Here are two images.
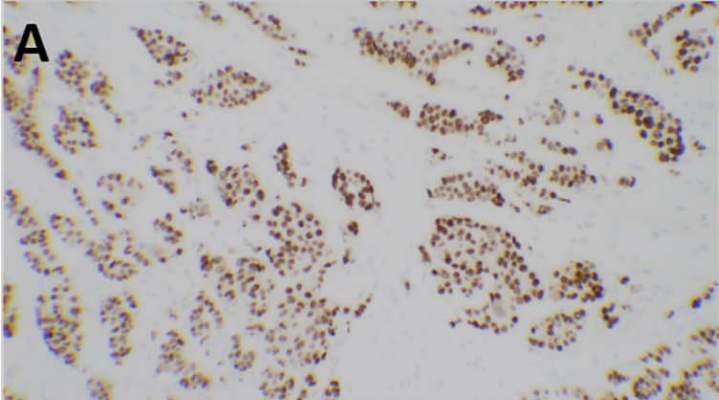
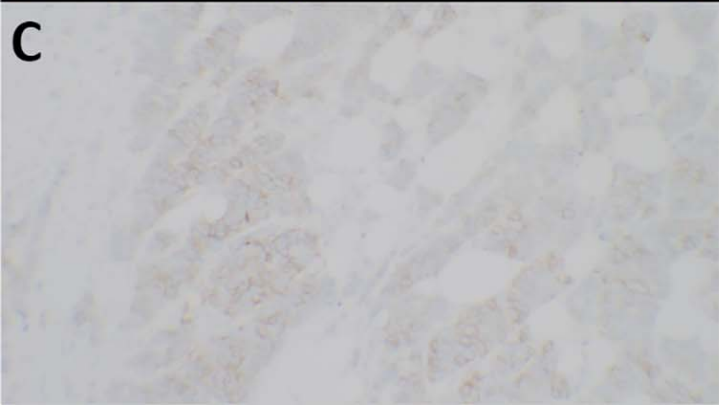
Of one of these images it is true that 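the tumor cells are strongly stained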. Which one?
the first image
